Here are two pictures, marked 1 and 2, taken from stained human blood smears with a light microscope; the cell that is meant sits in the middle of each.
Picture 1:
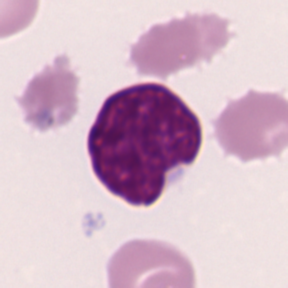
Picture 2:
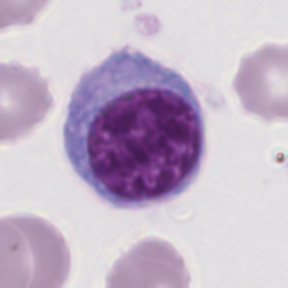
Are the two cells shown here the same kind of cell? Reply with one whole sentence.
No, the types are not the same, since picture 1 shows a typical lymphocyte and picture 2 a plasma cell.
